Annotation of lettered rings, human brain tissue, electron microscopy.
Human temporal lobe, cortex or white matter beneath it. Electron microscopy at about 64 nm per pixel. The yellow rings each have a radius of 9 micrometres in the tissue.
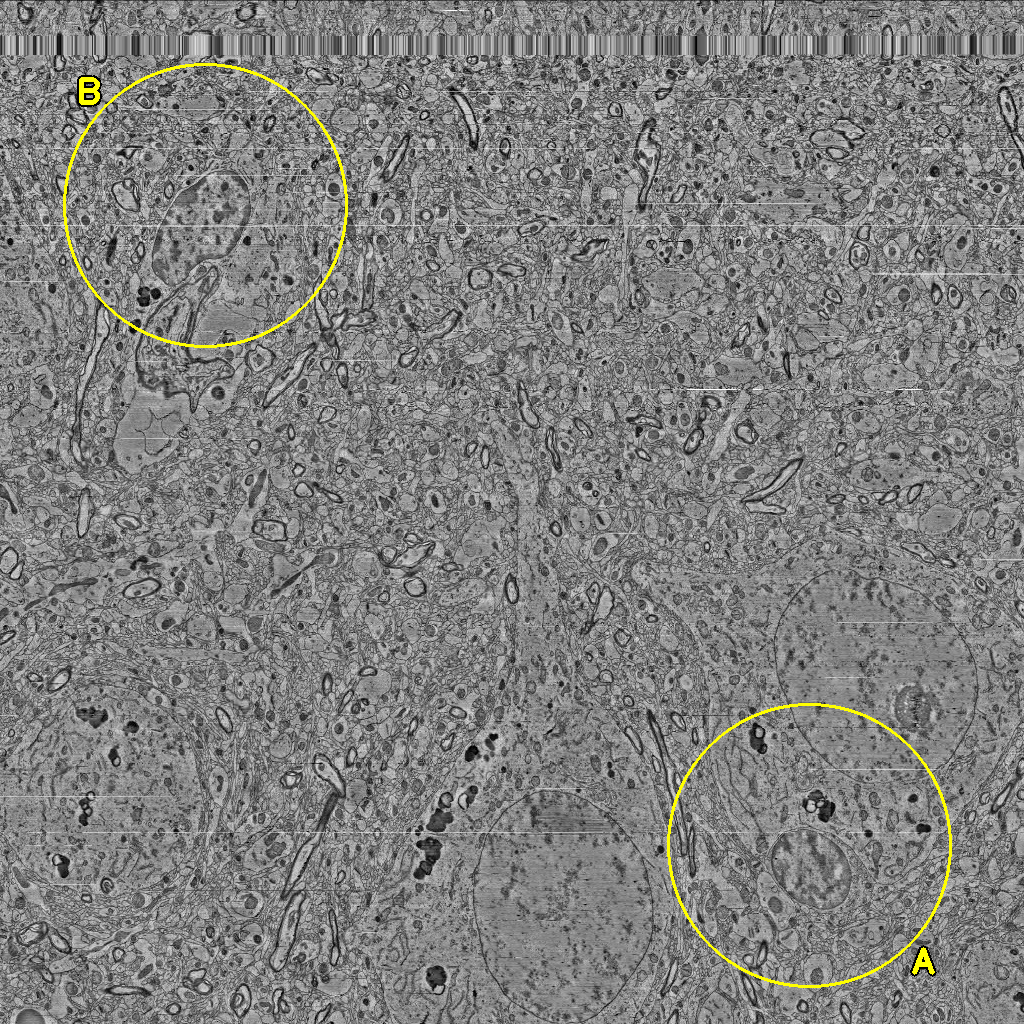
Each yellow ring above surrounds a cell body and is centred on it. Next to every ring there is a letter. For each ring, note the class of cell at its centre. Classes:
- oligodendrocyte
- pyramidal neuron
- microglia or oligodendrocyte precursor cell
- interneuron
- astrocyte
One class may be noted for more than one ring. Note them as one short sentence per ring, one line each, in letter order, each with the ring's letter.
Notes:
The class noted at ring A is an oligodendrocyte.
The class noted at ring B is a microglial cell or oligodendrocyte precursor cell.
